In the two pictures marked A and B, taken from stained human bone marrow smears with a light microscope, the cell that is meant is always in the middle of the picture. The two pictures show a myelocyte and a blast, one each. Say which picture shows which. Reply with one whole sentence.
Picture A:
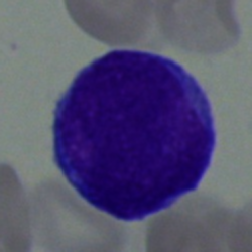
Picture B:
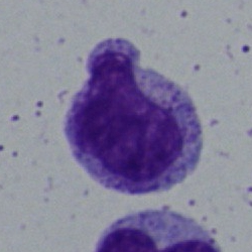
Picture A shows a blast and picture B shows a myelocyte.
